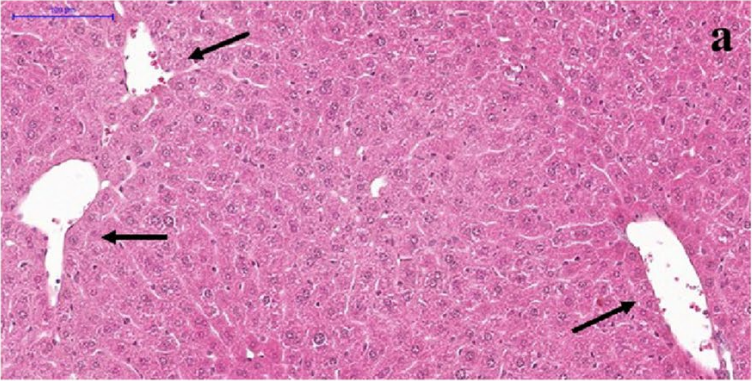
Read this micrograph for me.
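Liver parenchyma with hepatocytes and open hepatic vessels. Hepatocytes are large polygonal cells with pink granular cytoplasm and round central nuclei, some binucleate, arranged in cords radiating between narrow sinusoids. Three vessels with thin walls have wide, mostly empty lumens containing only a few scattered red blood cells. The plates of hepatocytes are regular and closely packed throughout the field.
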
